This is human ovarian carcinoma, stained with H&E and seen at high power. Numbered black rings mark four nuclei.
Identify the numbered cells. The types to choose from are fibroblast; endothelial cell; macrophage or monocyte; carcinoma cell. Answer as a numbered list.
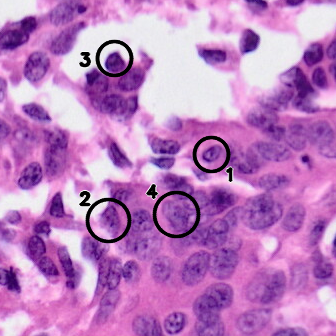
1. macrophage or monocyte
2. carcinoma cell
3. carcinoma cell
4. carcinoma cell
